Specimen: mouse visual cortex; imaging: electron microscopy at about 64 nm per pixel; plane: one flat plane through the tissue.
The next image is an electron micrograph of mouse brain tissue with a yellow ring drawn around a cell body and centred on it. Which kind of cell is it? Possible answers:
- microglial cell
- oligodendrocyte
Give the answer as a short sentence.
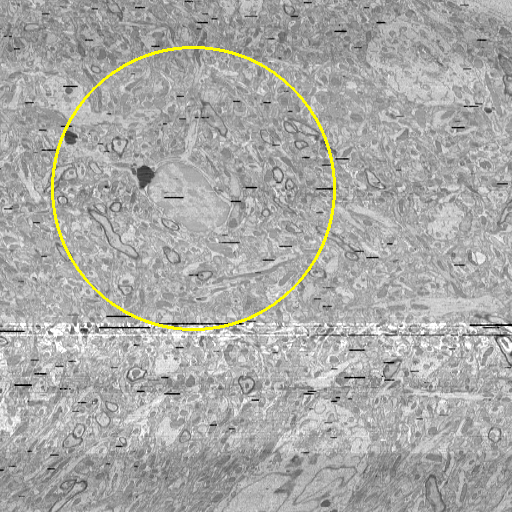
In the ring's centre is a microglial cell.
